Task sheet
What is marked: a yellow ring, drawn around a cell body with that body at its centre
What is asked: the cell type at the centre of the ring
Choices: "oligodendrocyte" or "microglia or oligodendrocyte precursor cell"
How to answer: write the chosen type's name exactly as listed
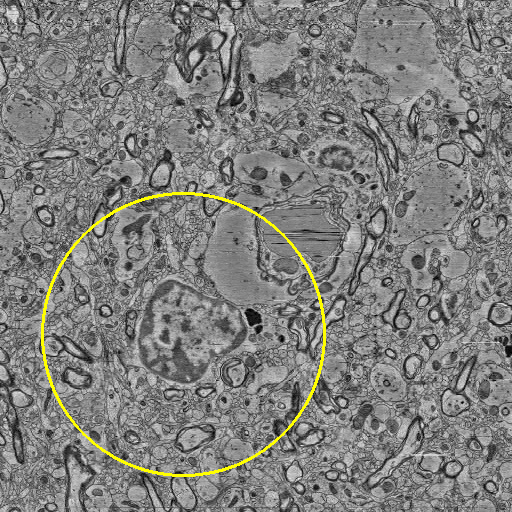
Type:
microglia or oligodendrocyte precursor cell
